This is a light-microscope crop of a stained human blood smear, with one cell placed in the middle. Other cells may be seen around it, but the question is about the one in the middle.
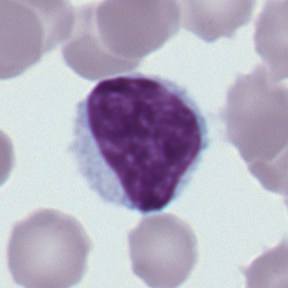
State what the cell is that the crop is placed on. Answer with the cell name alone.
typical lymphocyte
